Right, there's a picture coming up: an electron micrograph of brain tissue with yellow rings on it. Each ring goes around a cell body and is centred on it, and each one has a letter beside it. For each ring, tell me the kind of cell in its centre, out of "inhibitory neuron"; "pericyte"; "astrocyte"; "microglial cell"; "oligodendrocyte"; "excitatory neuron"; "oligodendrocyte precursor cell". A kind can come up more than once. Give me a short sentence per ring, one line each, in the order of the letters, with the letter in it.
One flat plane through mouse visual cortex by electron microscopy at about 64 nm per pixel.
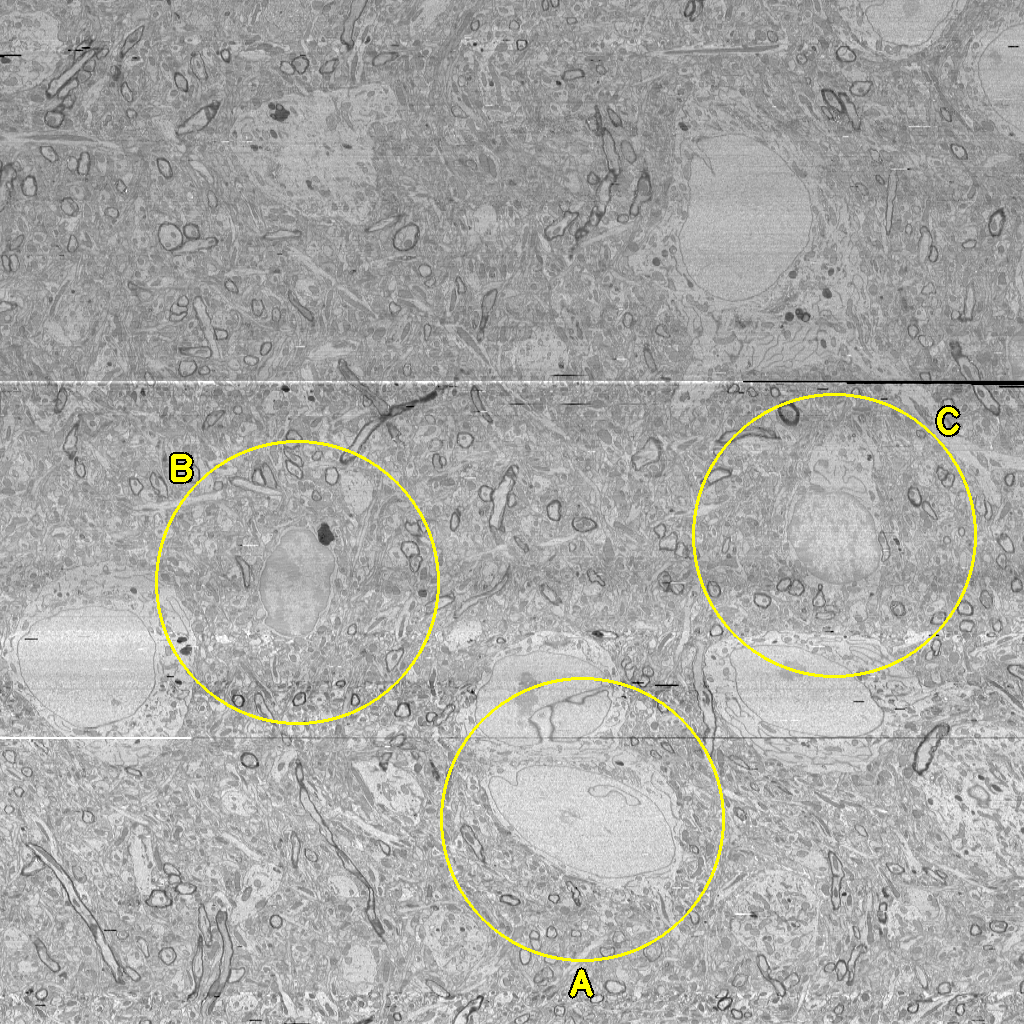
That's an excitatory neuron in ring A.
That's a microglial cell in ring B.
That's an oligodendrocyte in ring C.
